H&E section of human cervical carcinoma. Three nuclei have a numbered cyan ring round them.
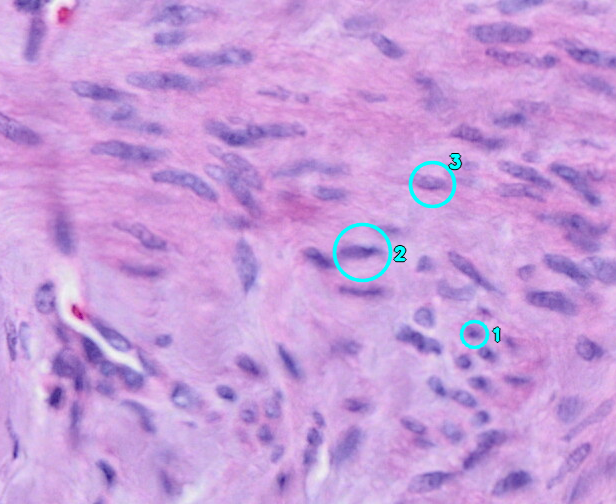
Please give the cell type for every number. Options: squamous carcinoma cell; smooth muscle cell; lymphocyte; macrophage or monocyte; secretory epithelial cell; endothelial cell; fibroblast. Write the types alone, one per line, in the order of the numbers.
smooth muscle cell
fibroblast
smooth muscle cell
